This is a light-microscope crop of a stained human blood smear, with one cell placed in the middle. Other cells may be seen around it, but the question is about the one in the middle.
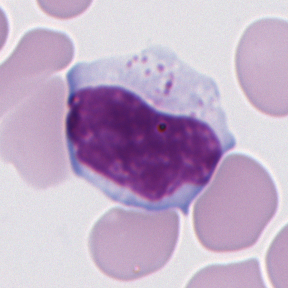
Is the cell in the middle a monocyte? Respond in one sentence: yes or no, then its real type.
No, the cell located centrally is a large granular lymphocyte rather than a monocyte.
